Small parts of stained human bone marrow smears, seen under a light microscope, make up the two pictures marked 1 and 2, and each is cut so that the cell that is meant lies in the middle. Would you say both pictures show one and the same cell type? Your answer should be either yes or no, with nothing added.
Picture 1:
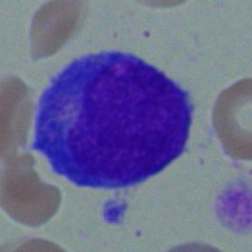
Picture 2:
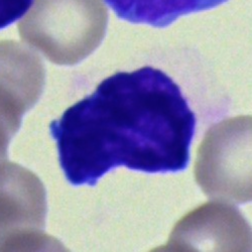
yes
